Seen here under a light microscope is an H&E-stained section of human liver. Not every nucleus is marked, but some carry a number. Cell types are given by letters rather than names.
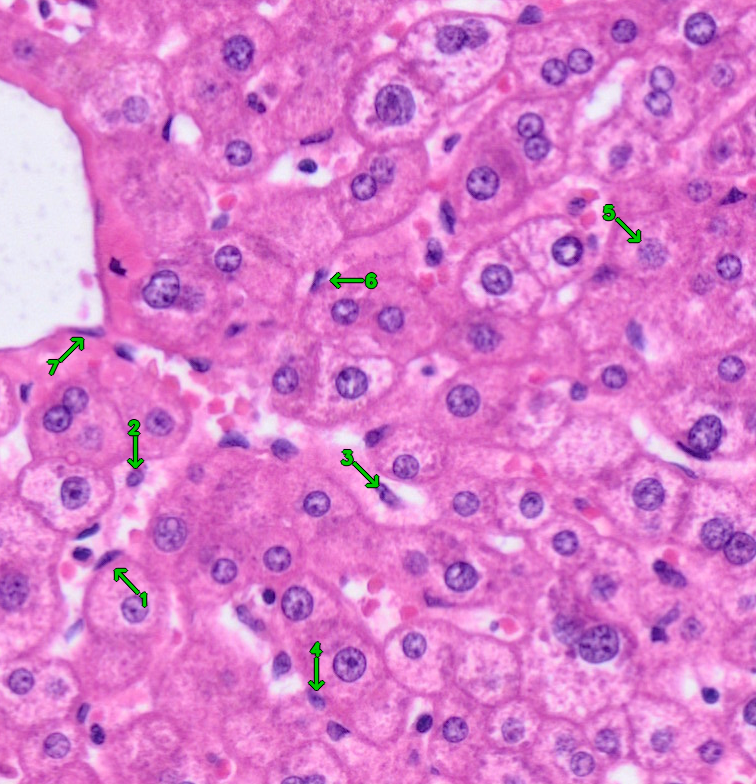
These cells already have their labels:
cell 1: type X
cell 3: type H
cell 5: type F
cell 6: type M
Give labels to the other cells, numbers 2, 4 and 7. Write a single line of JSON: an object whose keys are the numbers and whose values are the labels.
{"2": "type H", "4": "type X", "7": "type X"}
